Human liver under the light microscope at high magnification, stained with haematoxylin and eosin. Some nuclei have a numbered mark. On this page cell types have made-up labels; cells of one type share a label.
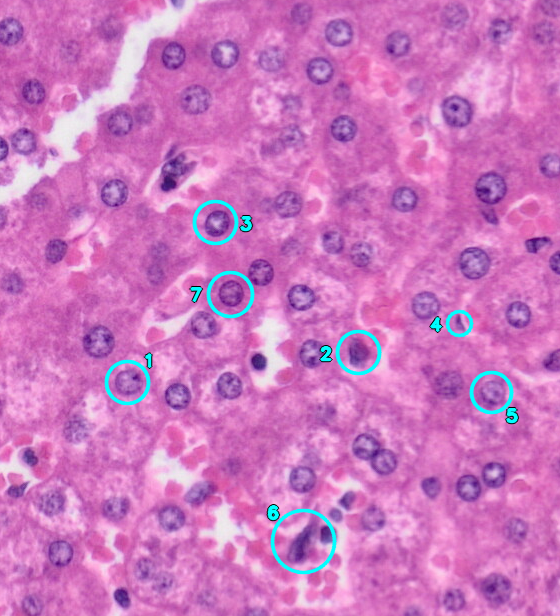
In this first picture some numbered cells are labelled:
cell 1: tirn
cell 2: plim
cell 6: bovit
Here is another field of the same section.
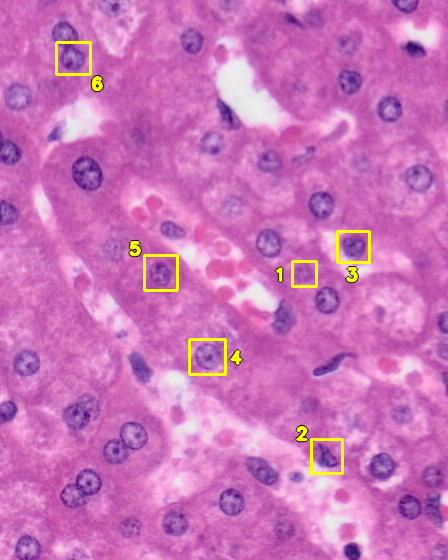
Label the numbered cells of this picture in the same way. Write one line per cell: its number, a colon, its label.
1: tirn
2: plim
3: bovit
4: tirn
5: tirn
6: tirn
